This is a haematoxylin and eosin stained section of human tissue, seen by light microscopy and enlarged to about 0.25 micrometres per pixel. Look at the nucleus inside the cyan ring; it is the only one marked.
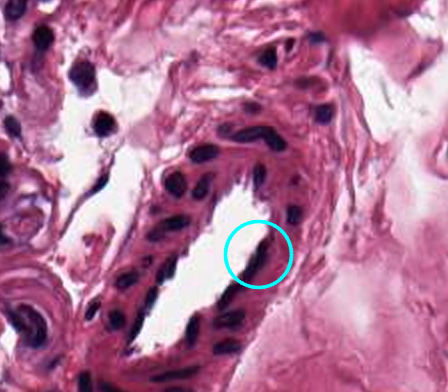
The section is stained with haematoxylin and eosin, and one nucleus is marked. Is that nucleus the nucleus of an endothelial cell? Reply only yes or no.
yes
